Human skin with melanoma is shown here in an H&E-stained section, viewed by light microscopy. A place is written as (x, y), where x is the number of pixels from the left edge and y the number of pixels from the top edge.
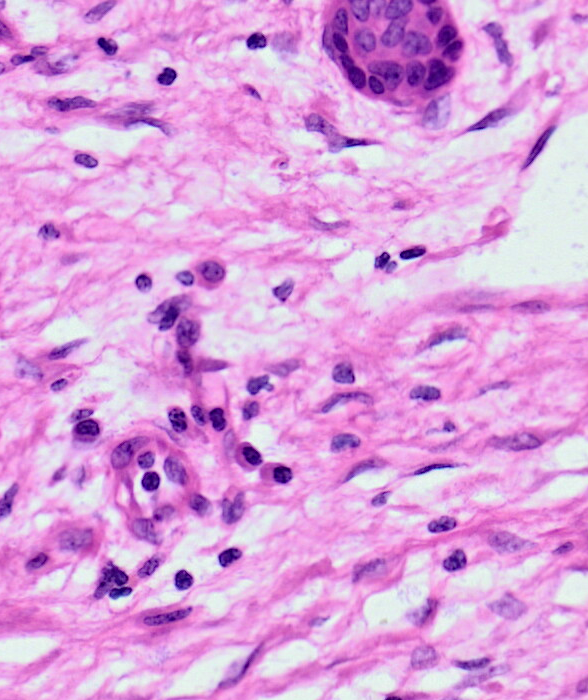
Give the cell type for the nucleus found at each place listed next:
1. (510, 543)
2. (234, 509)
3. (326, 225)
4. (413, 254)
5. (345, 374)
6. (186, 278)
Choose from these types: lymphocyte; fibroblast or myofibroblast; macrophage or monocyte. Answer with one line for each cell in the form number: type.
1: fibroblast or myofibroblast
2: macrophage or monocyte
3: fibroblast or myofibroblast
4: lymphocyte
5: lymphocyte
6: lymphocyte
